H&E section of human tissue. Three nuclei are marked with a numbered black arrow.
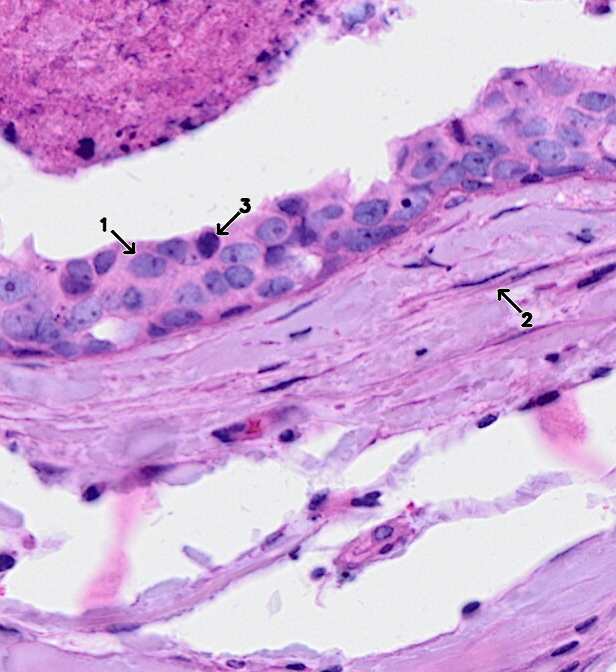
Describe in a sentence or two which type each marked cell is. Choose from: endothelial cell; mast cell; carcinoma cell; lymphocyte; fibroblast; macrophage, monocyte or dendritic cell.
Cell 1 is a carcinoma cell, cell 2 is a fibroblast and cell 3 is a carcinoma cell.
